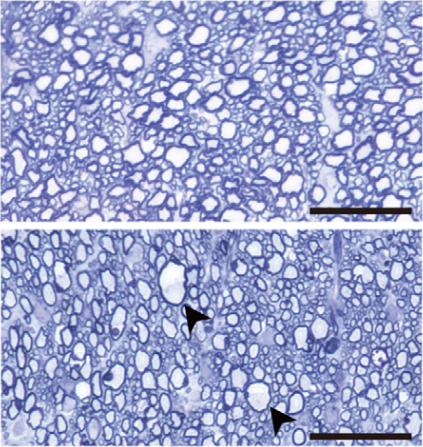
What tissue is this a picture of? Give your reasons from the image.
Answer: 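White matter. Densely packed round axon profiles each surrounded by a dark blue myelin ring. No neuronal cell bodies among them.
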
